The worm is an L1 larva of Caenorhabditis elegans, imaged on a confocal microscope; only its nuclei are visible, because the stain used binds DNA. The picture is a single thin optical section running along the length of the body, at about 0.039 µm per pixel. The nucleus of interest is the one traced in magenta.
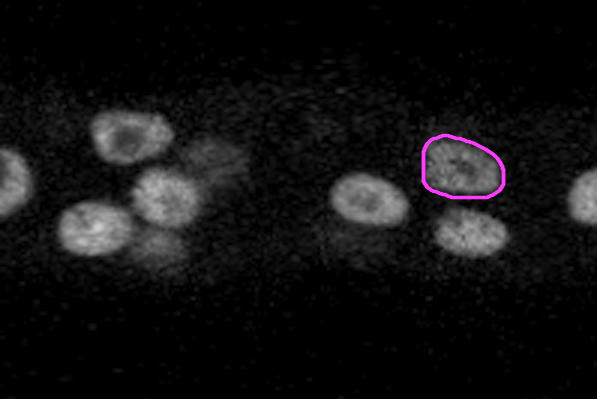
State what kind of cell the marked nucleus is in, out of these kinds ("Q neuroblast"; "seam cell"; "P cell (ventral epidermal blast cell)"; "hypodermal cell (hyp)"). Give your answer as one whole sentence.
The marked cell is a hypodermal cell (hyp).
